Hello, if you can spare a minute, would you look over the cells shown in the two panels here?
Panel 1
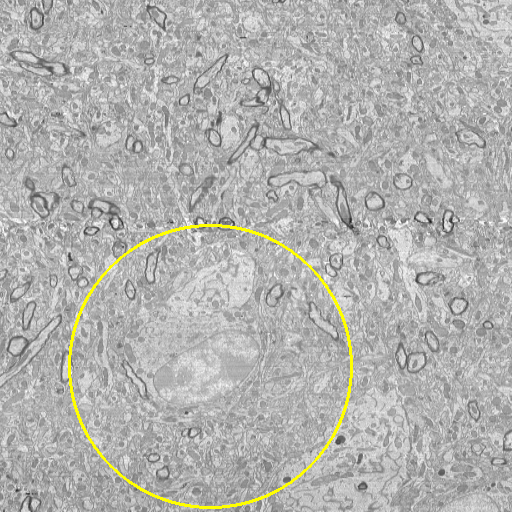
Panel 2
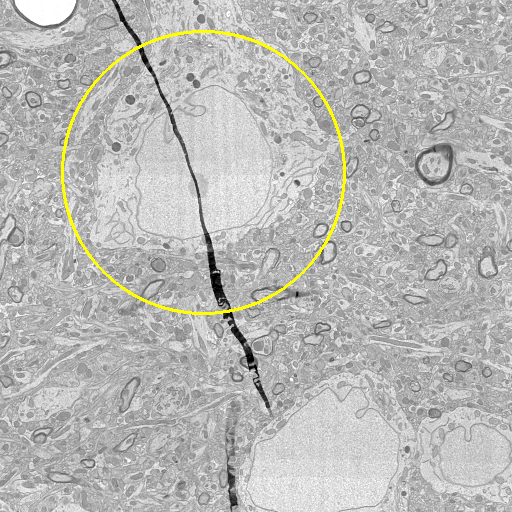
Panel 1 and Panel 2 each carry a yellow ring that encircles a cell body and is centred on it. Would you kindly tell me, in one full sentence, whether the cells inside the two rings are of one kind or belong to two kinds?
The cells at the centres of the rings in Panel 1 and Panel 2 belong to two kinds.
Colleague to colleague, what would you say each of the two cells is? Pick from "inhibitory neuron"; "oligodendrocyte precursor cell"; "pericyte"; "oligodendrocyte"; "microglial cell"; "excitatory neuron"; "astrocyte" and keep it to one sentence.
The cell in the first picture is an oligodendrocyte; the second picture's cell is an excitatory neuron.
